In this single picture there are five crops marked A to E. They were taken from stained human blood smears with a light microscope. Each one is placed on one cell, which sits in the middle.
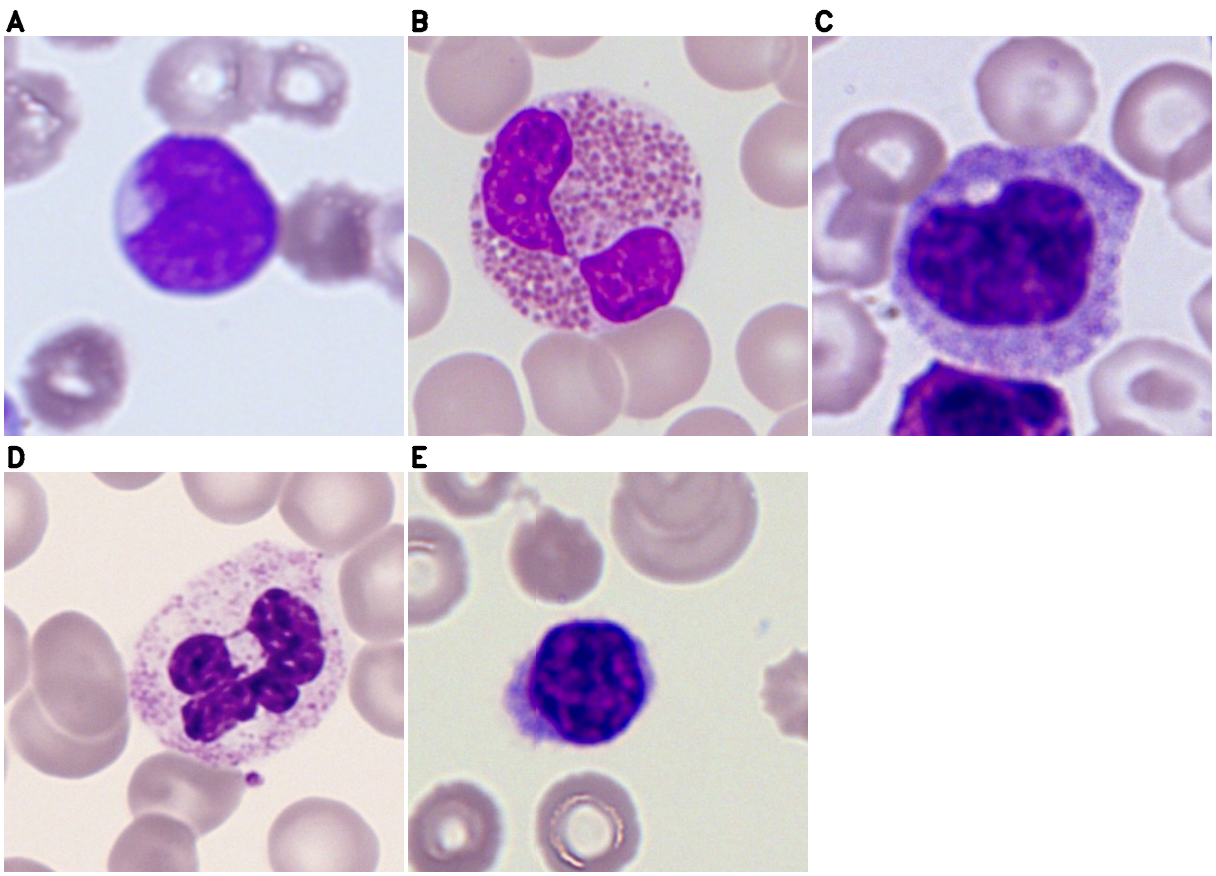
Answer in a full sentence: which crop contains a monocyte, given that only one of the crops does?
On review of the set, crop C is the one showing a monocyte.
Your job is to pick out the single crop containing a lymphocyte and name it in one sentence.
Of all the crops, crop E is the one showing a lymphocyte.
